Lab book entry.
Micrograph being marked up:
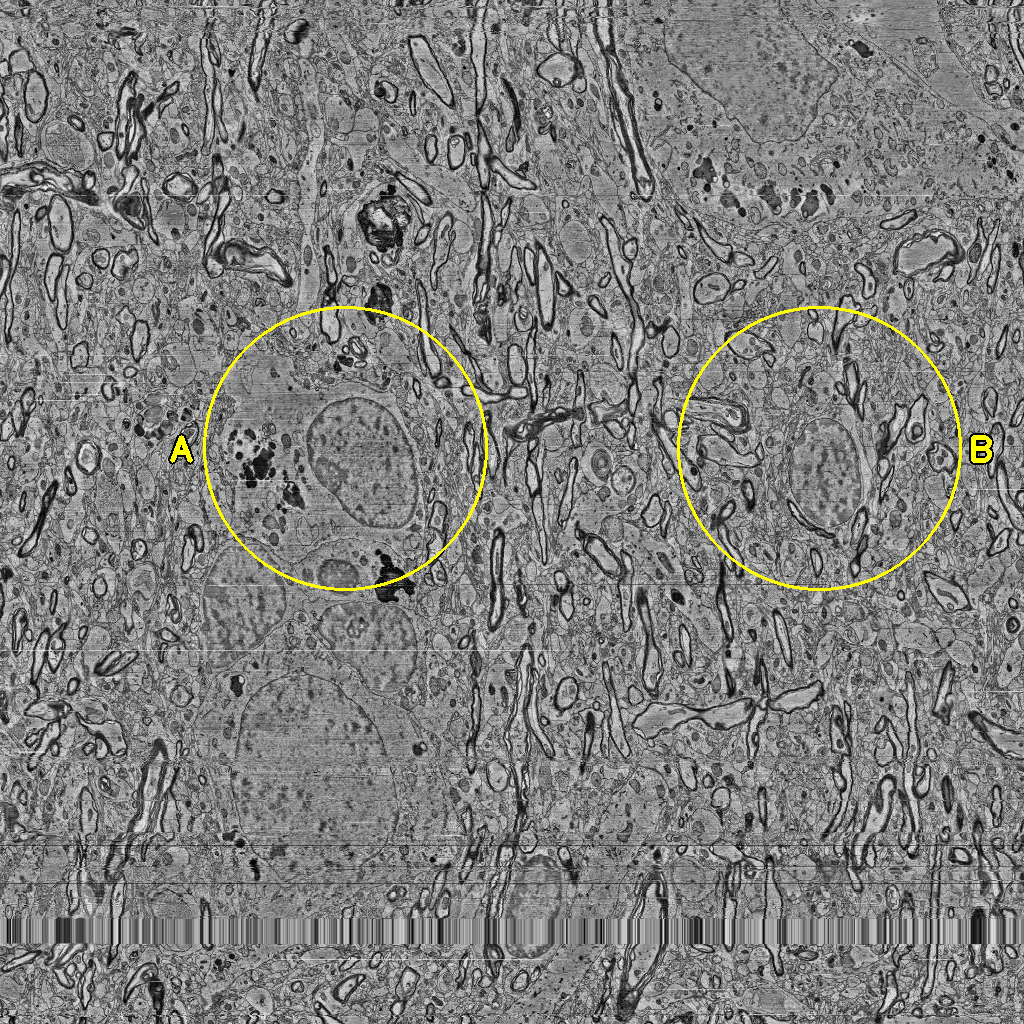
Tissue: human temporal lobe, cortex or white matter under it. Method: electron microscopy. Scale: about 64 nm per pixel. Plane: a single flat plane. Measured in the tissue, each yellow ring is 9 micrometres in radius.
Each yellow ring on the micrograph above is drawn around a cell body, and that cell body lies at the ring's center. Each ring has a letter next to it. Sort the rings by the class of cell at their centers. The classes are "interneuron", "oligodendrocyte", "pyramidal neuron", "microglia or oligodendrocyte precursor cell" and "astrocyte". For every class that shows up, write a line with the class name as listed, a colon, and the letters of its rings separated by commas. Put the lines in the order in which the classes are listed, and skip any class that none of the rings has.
microglia or oligodendrocyte precursor cell: B
astrocyte: A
